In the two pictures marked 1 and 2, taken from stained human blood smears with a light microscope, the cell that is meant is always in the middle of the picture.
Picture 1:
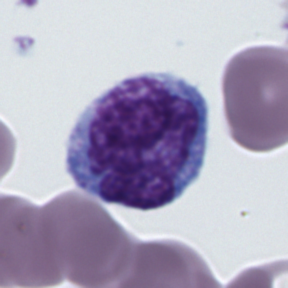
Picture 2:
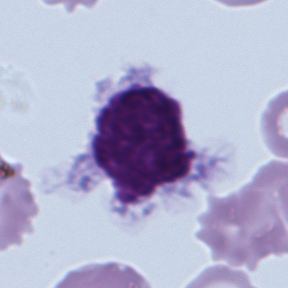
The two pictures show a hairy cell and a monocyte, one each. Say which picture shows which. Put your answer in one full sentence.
The cell in picture 1 is a monocyte, and the one in picture 2 is a hairy cell.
